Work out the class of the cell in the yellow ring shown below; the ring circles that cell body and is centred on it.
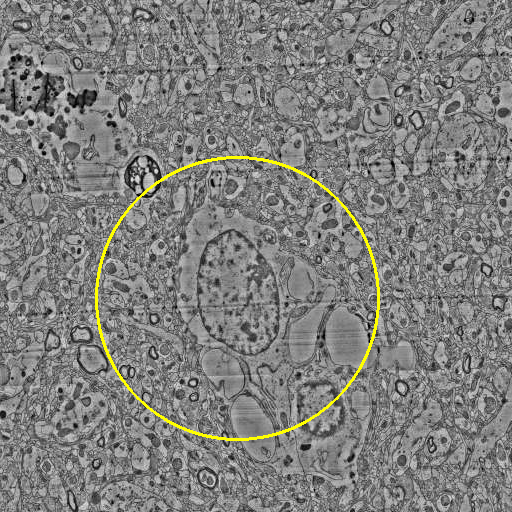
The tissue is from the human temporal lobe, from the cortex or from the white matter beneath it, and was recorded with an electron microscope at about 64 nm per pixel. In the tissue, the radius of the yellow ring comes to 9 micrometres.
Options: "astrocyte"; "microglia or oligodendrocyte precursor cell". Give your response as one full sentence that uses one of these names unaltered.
The body ringed in yellow, right at the ring's centre, is that of an astrocyte.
